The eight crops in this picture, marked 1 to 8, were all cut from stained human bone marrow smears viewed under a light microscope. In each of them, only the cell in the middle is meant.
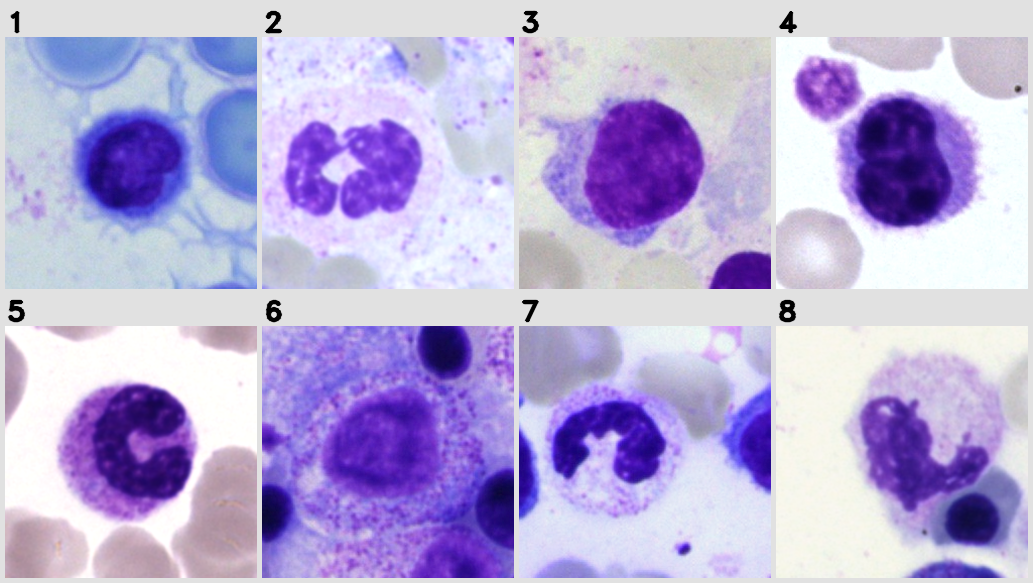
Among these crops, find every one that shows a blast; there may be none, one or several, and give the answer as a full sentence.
The cell of interest is not a blast in any crop.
